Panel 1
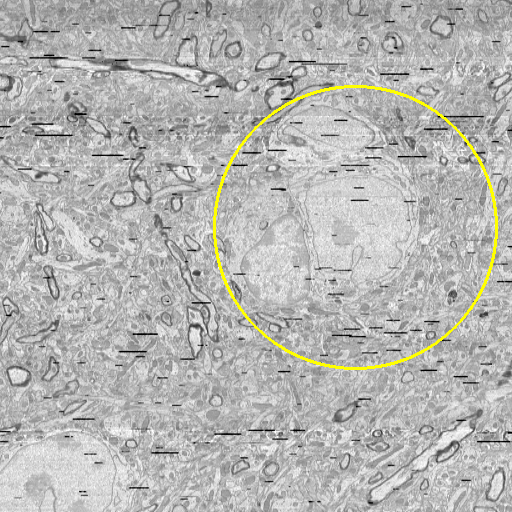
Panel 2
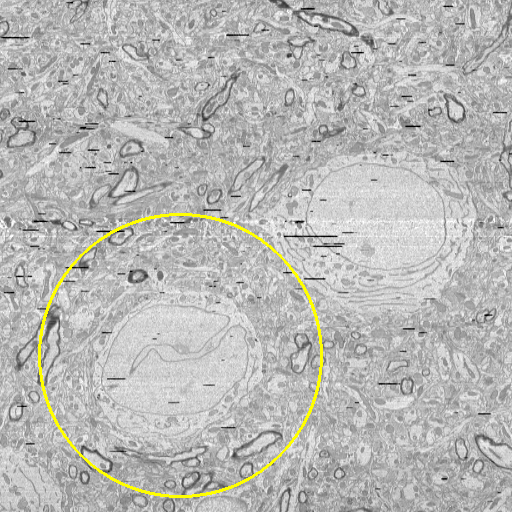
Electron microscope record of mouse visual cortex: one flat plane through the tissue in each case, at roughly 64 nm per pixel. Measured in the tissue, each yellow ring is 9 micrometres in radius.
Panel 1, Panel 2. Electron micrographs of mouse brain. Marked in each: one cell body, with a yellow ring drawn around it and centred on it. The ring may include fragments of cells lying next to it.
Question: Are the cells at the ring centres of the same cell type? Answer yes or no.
no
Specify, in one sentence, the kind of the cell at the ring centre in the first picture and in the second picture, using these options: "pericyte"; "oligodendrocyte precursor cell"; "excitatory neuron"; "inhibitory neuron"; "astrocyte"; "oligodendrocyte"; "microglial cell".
So the first is an inhibitory neuron, the second an excitatory neuron.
